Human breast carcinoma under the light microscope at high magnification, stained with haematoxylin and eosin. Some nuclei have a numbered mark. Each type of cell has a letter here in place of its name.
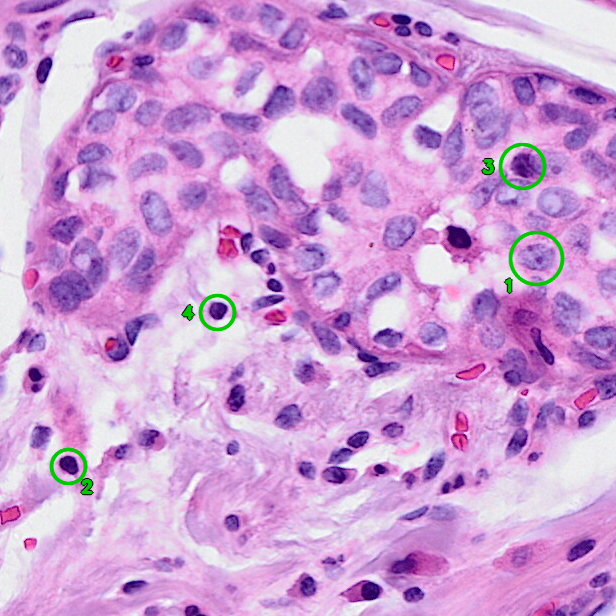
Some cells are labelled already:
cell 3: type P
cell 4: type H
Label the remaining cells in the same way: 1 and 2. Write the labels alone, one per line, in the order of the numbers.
type P
type H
